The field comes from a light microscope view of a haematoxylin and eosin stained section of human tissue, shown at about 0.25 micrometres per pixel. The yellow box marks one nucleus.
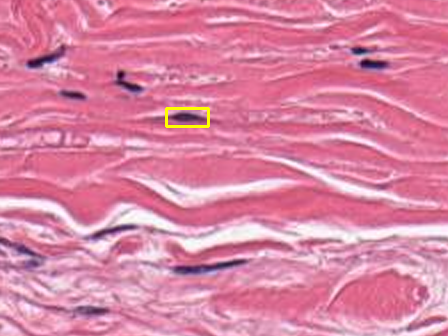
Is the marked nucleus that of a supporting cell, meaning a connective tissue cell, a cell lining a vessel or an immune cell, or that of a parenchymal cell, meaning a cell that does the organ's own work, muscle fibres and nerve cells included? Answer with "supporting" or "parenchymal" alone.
supporting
